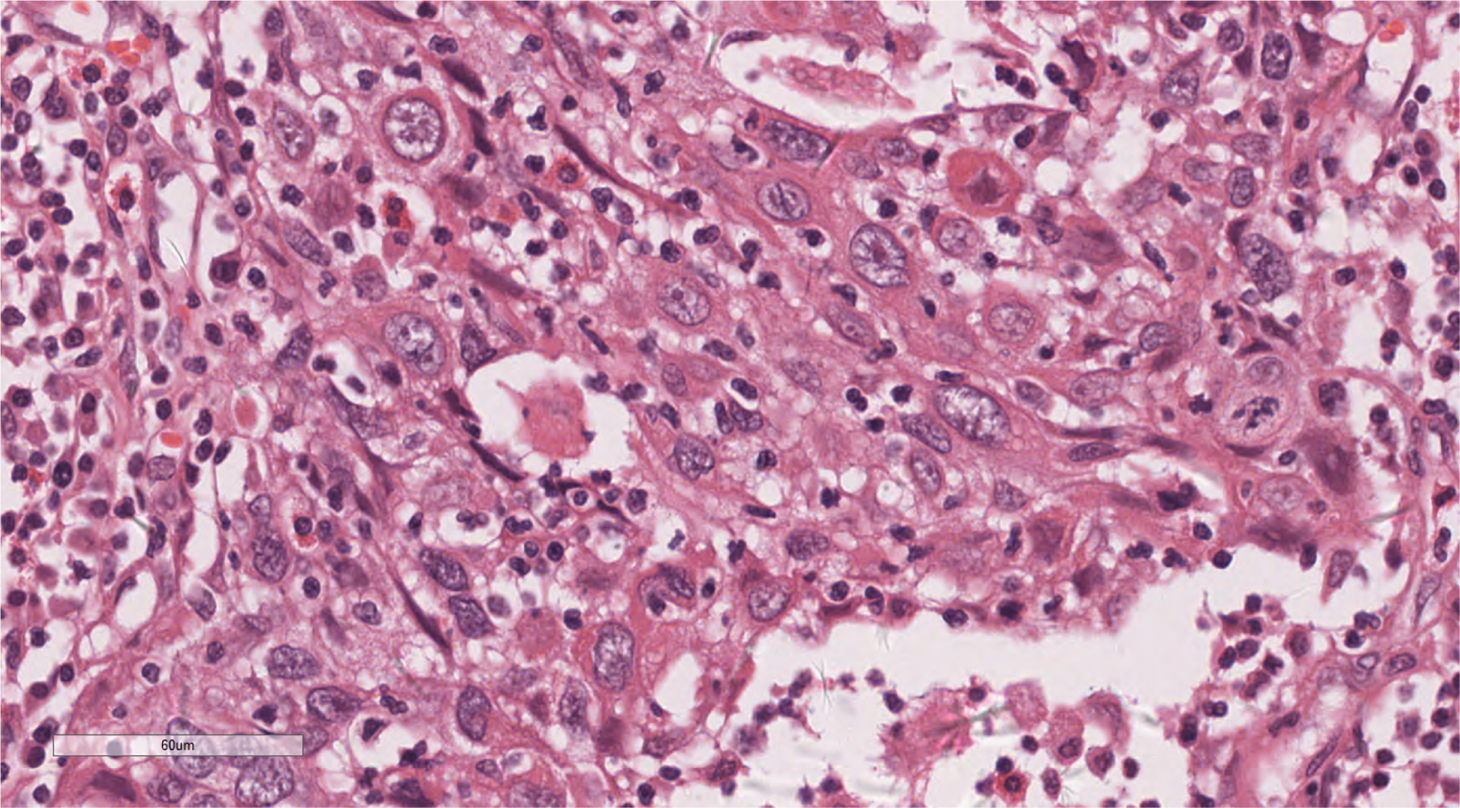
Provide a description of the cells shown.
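Large tumor cells with ample pink, partly bubbly cytoplasm lie scattered among many small cells with dark, round nuclei. The tumor-cell nuclei are big and round, oval or elongated, with pale, cleared-out chromatin and dark nucleoli that stand out in several of them.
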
